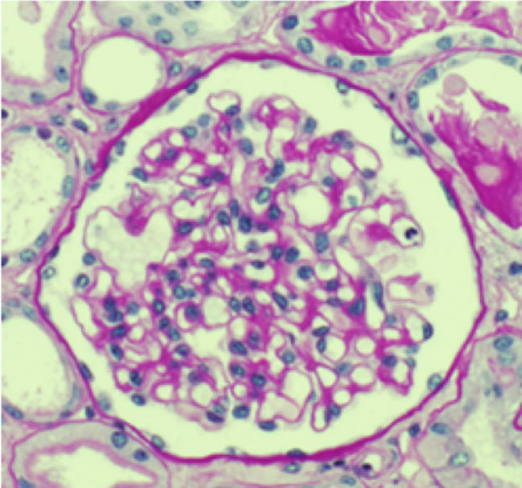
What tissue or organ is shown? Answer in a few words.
Glomerulus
